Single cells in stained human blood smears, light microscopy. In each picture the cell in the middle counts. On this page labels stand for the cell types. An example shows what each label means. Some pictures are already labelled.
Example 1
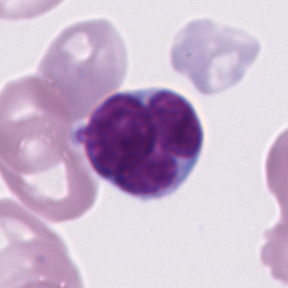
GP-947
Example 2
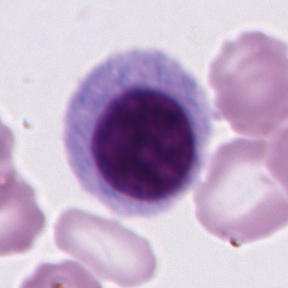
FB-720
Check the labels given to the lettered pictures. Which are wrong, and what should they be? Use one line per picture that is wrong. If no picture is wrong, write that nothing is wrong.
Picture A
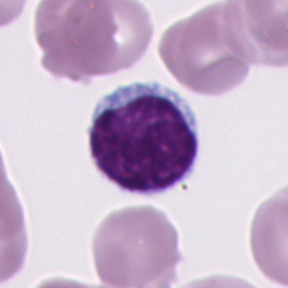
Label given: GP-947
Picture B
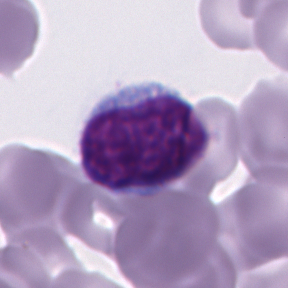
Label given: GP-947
Every label is right.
